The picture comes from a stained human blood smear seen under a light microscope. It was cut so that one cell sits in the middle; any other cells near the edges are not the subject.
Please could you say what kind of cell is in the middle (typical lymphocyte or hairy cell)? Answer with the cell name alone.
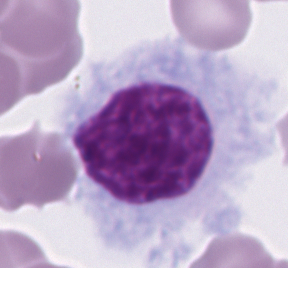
hairy cell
